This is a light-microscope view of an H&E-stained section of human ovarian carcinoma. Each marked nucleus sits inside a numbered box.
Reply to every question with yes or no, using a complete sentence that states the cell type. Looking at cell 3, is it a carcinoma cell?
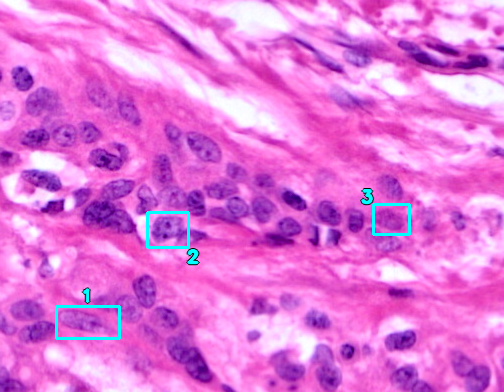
Yes, the cell marked by the number 3 is a carcinoma cell.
